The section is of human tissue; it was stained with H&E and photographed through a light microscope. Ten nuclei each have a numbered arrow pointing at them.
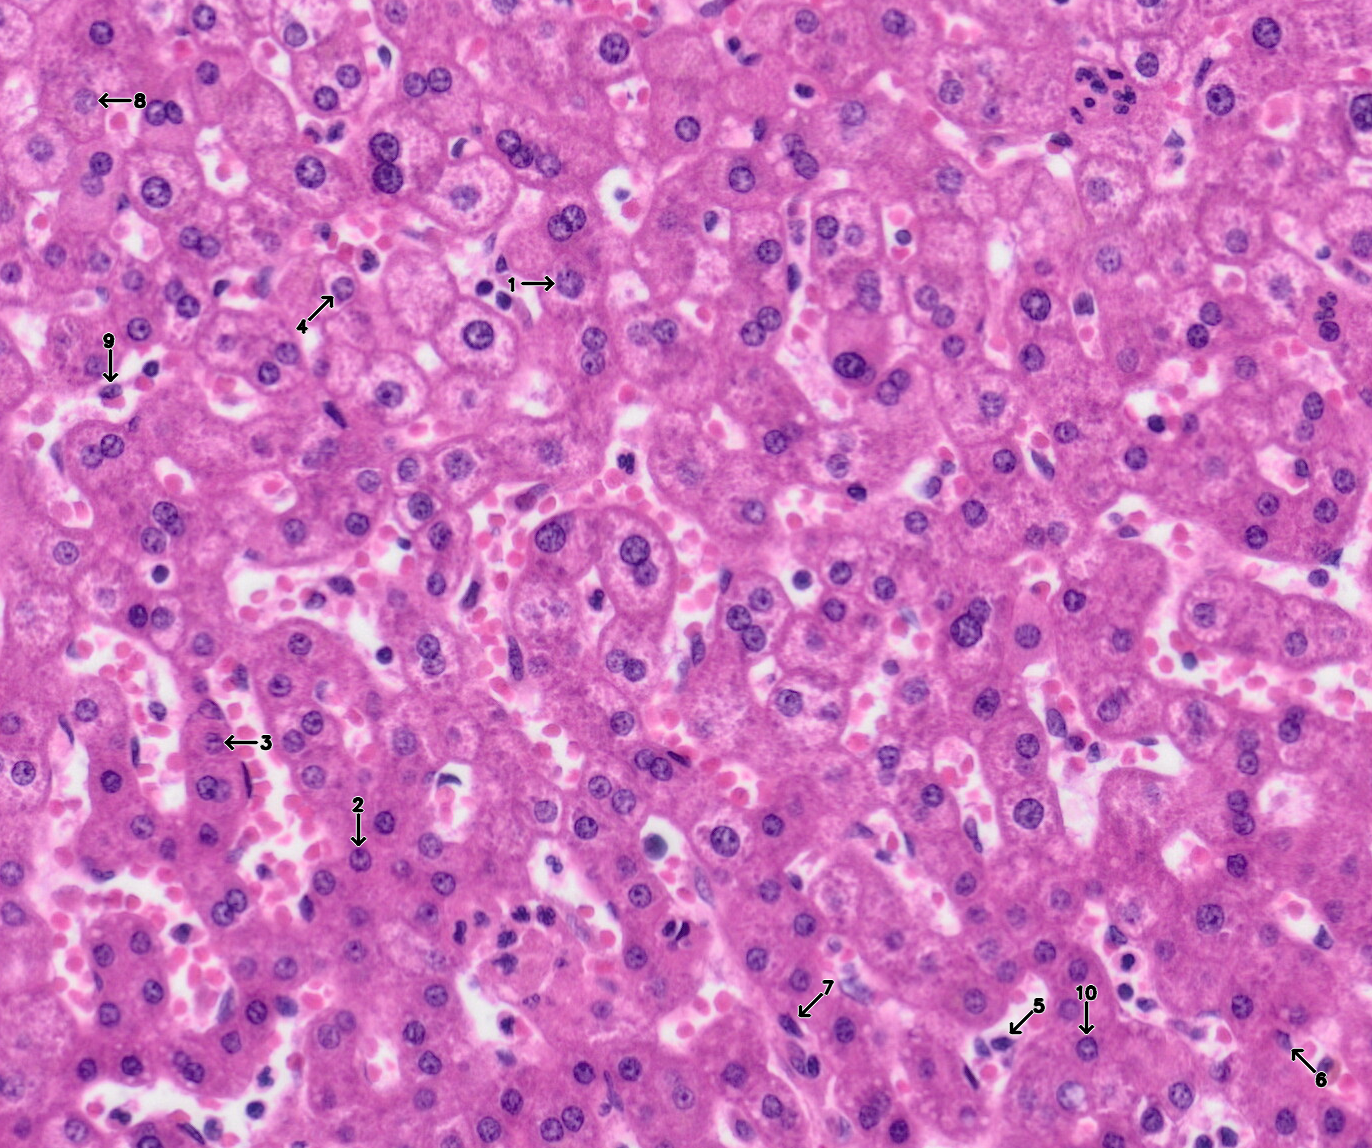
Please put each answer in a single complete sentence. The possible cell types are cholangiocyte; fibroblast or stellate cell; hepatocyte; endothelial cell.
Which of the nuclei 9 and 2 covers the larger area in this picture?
Nucleus 2 covers more area, about 1.5 times as much as nucleus 9.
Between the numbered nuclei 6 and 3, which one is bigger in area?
Of the two, number 3 is bigger and takes up about 1.5 times the area of number 6.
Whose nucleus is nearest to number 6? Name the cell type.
Number 6 lies closest to the nucleus of a hepatocyte.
